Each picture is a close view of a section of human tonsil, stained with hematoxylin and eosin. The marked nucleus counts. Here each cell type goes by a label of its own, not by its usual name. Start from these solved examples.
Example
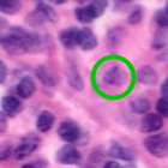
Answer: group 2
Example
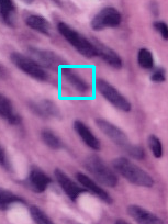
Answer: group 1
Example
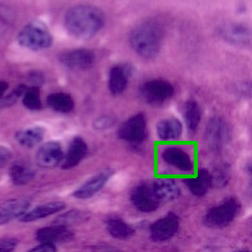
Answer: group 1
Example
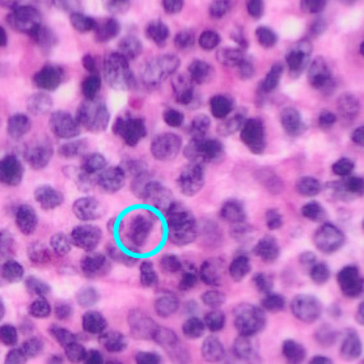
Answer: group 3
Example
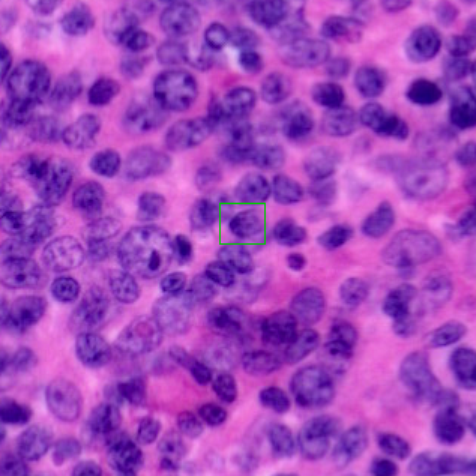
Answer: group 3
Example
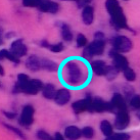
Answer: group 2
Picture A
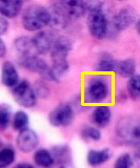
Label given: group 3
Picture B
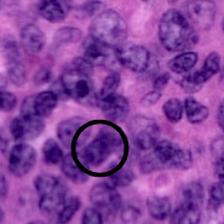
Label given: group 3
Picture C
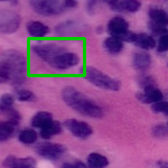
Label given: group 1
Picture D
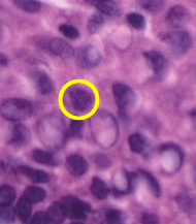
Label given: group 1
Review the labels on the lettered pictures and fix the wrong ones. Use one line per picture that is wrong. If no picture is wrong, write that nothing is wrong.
C: group 2, not group 1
